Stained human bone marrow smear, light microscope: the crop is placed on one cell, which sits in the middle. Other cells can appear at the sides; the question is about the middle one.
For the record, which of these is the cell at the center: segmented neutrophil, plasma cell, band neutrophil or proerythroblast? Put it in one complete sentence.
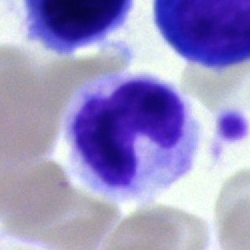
In the middle of this smear crop, the cell is a band neutrophil.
